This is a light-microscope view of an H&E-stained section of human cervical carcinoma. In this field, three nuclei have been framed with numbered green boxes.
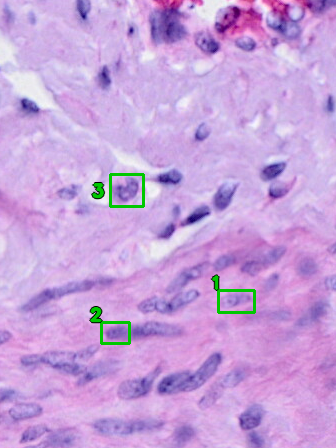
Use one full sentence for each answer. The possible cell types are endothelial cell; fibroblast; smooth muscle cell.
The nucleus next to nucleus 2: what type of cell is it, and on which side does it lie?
It is a smooth muscle cell, whose nucleus lies to the right of nucleus 2.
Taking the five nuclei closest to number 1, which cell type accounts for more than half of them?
Around number 1, most of the five nearest nuclei are those of smooth muscle cells.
